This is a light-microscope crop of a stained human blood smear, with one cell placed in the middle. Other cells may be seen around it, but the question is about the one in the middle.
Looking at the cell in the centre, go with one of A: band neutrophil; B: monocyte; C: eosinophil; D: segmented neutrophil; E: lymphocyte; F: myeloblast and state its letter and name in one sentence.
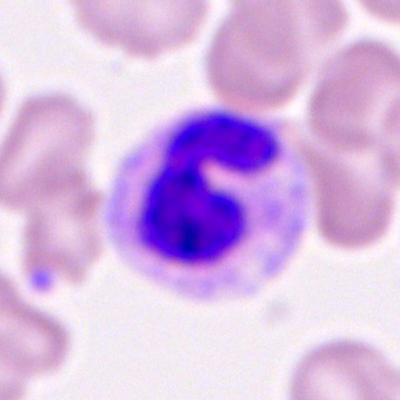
The cell centered in the crop is a band neutrophil, making option A the correct pick.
